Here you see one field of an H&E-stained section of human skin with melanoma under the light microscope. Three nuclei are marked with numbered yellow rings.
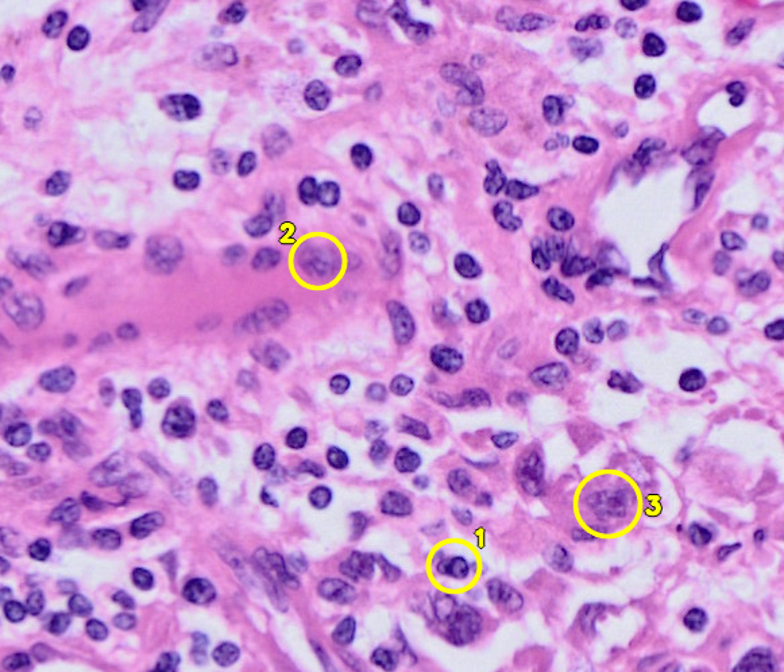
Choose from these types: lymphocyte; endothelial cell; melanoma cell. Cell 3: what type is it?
melanoma cell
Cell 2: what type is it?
endothelial cell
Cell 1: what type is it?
lymphocyte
